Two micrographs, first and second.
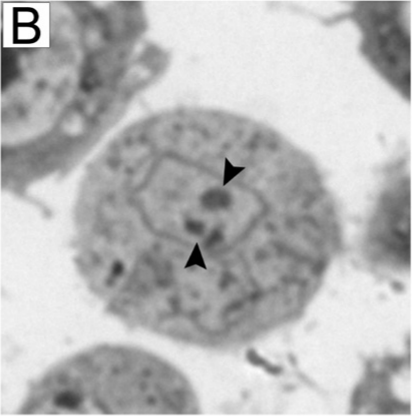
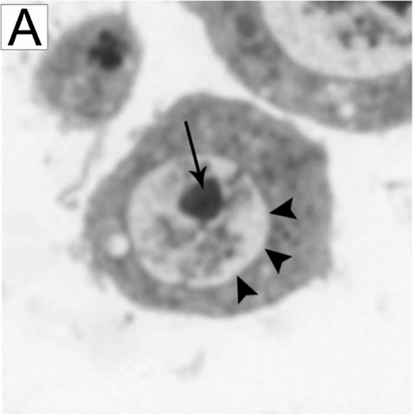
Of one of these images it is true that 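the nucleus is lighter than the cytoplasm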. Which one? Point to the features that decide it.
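The second image. First image: the nuclear region has about the same grey tone as the cytoplasm. Second image: the round nucleus is clearly paler than the surrounding cytoplasm.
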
